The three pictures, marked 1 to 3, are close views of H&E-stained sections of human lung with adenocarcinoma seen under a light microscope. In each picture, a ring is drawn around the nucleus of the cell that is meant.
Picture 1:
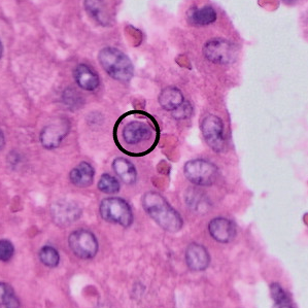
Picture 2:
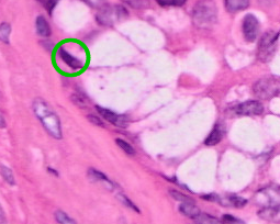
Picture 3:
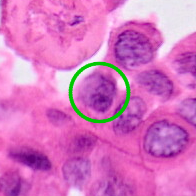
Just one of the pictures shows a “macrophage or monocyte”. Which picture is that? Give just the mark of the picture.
1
